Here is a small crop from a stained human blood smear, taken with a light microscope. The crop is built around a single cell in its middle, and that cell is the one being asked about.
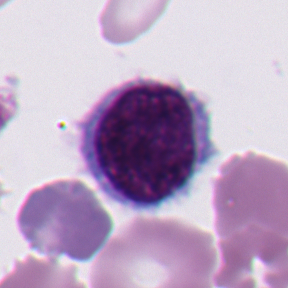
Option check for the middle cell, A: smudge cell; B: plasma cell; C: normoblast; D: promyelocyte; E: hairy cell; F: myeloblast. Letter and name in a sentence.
Option E is correct, and the cell in the centre is a hairy cell.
